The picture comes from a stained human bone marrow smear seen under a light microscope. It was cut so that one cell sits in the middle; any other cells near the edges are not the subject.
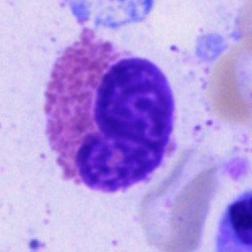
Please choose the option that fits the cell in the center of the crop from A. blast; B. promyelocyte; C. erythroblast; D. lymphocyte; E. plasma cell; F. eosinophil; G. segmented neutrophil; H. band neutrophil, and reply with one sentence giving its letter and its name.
Option F is correct in naming the middle cell an eosinophil.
